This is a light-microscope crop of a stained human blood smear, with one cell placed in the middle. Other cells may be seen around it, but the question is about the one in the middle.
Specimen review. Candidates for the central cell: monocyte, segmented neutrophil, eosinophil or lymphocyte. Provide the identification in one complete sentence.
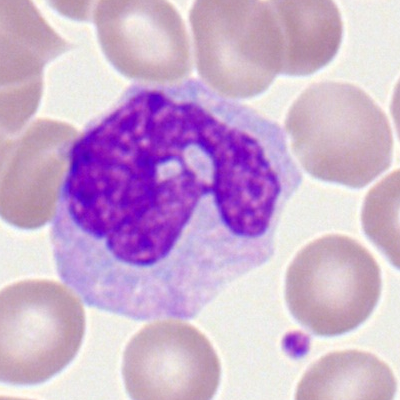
In short, the cell at the center is a monocyte.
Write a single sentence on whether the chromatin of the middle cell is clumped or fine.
The nucleus shows chromatin that is coarsely clumped.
